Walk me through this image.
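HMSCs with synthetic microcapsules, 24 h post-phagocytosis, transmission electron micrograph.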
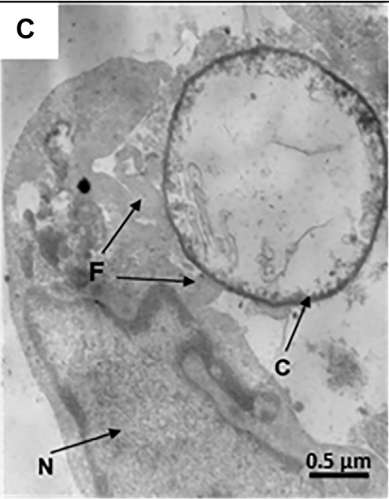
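The filopodia run along the capsule surface, partly wrapping it. Cytoplasm near the nucleus contains dense bodies and small vesicles.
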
